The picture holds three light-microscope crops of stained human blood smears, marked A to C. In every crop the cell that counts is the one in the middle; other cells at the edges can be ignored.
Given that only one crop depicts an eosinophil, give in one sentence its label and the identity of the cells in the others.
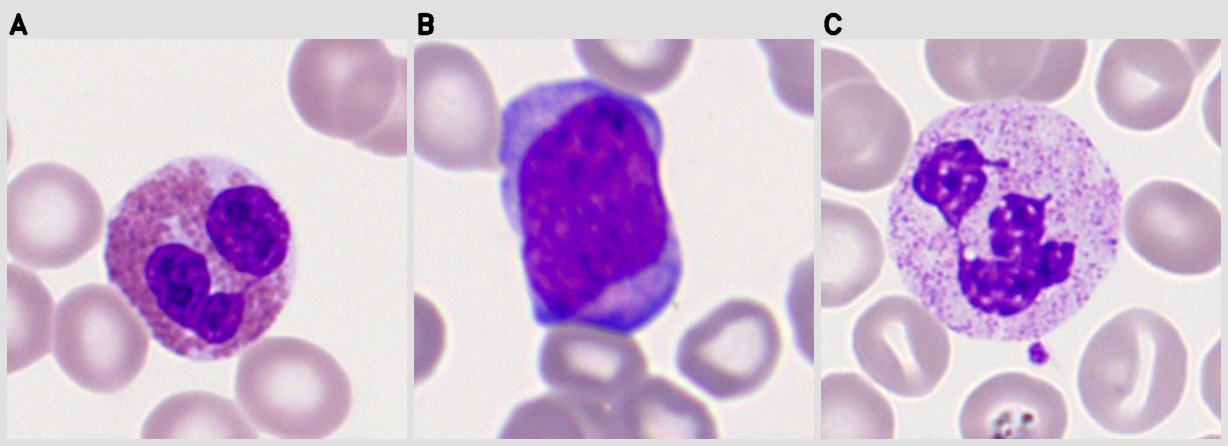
Crop A corresponds to an eosinophil, whereas crop B is a myeloblast and crop C is a segmented neutrophil.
